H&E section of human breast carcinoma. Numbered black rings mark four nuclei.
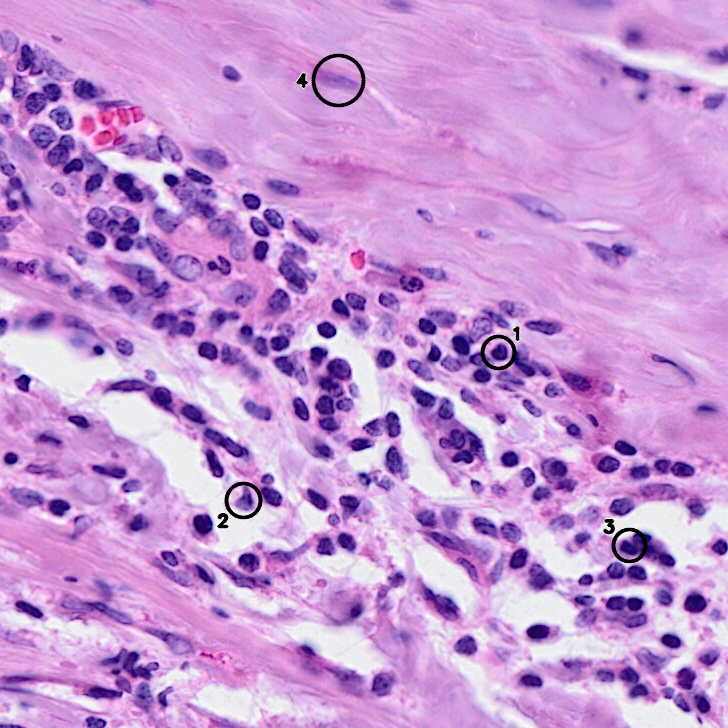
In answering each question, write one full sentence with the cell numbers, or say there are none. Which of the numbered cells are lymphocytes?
The cells numbered 1, 2 and 3 are typed as lymphocytes.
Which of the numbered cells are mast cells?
The numbered cells are not mast cells, not even one of them.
